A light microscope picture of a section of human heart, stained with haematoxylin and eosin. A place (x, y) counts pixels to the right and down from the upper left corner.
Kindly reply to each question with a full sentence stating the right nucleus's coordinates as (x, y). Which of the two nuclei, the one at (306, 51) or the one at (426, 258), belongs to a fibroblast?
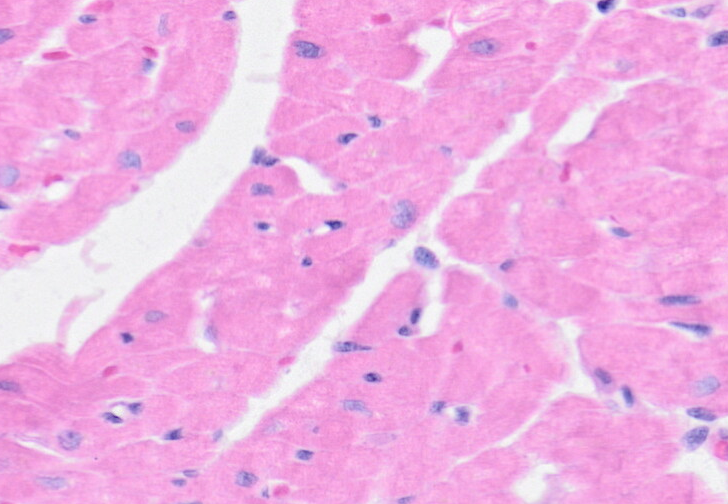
Which one belongs to a fibroblast? The nucleus at (426, 258) does.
